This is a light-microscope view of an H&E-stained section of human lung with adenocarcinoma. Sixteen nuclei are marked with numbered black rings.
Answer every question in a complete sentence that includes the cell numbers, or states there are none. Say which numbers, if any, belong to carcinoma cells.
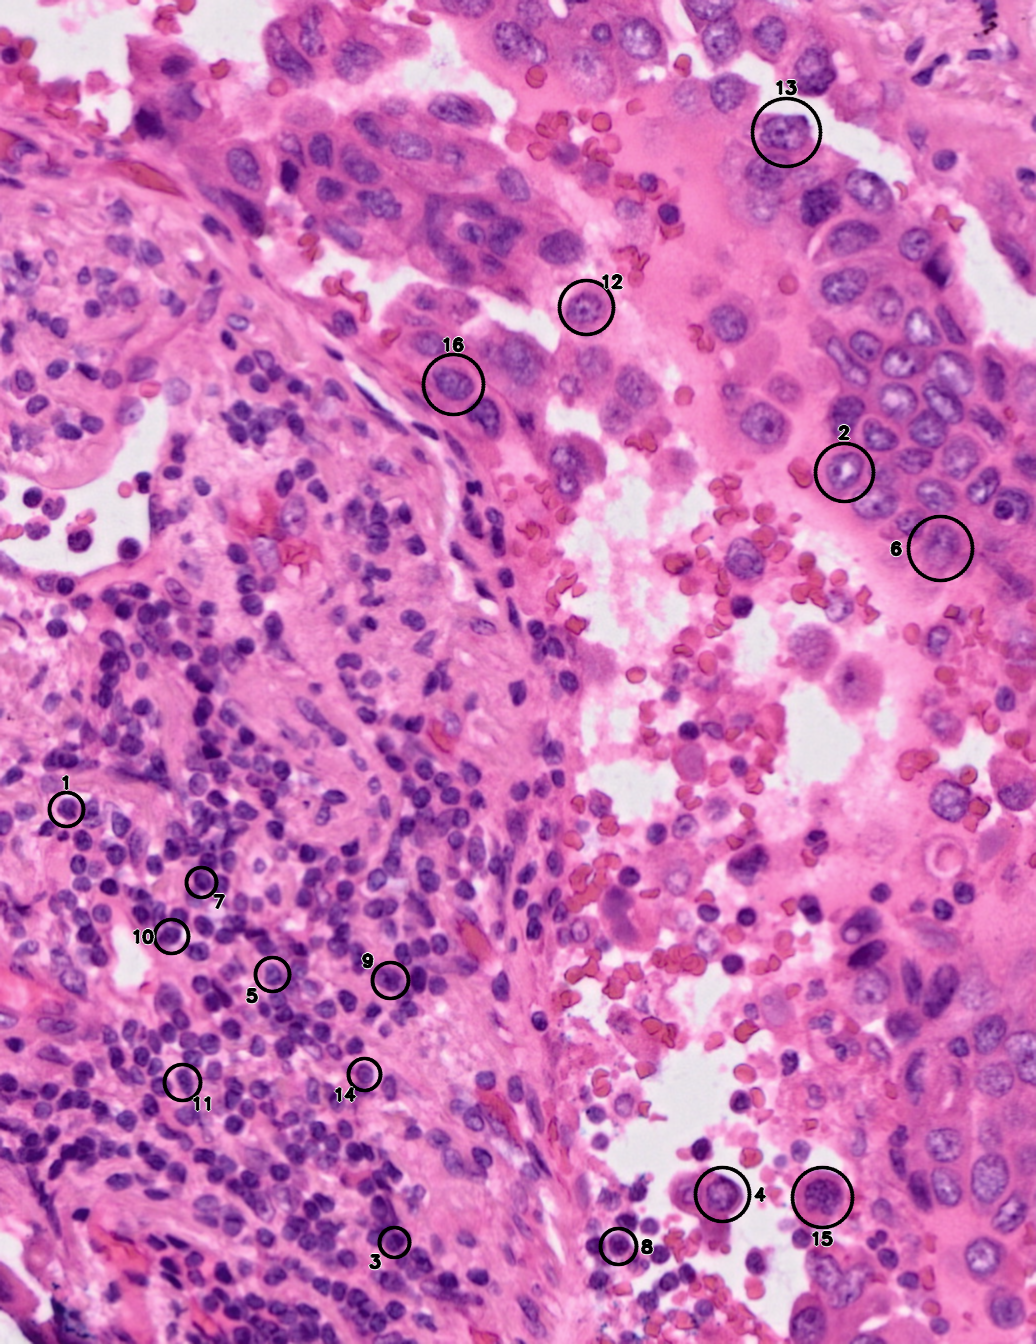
The cells with labels 2, 4, 6, 12, 13, 15 and 16 are carcinoma cells.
